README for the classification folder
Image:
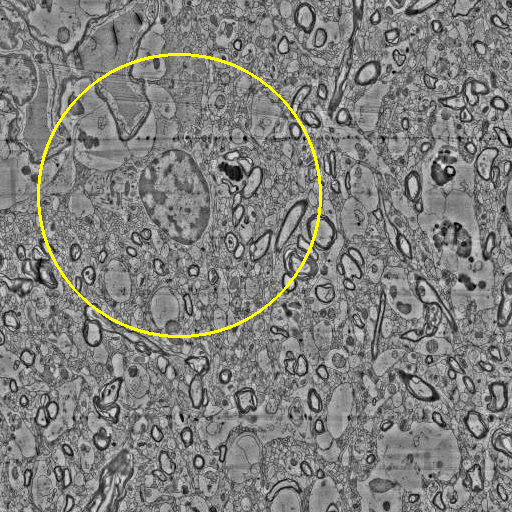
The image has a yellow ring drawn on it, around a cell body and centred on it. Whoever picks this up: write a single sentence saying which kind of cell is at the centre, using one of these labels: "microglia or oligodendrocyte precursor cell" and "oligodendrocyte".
This cell body is that of a microglial cell or oligodendrocyte precursor cell.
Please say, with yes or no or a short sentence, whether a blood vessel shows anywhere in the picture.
Yes.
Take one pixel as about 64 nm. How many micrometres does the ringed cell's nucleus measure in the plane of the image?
In this plane, the nucleus is roughly 6 by 5 micrometres.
